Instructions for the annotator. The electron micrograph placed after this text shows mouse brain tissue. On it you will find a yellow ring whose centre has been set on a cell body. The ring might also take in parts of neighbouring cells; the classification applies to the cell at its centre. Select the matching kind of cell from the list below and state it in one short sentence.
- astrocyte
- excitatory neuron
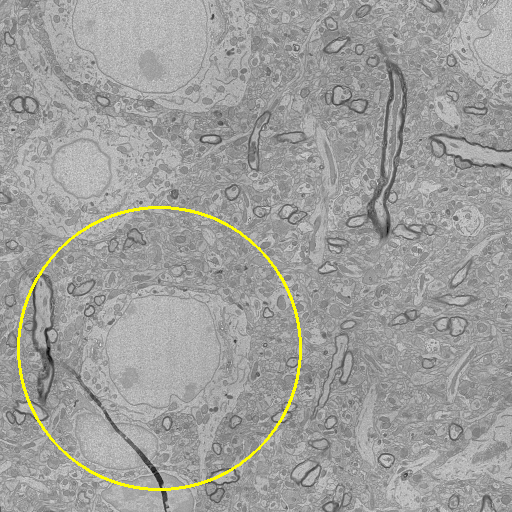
The ring is drawn on the cell body of an excitatory neuron.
